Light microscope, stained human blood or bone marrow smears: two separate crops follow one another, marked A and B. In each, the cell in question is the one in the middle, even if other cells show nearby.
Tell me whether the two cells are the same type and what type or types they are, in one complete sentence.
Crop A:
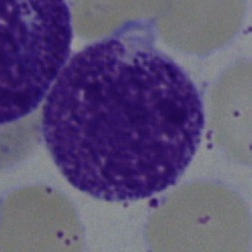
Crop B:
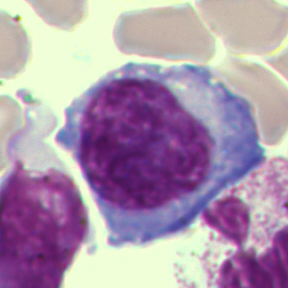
No, mark crop A as a myelocyte and crop B as a plasma cell.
